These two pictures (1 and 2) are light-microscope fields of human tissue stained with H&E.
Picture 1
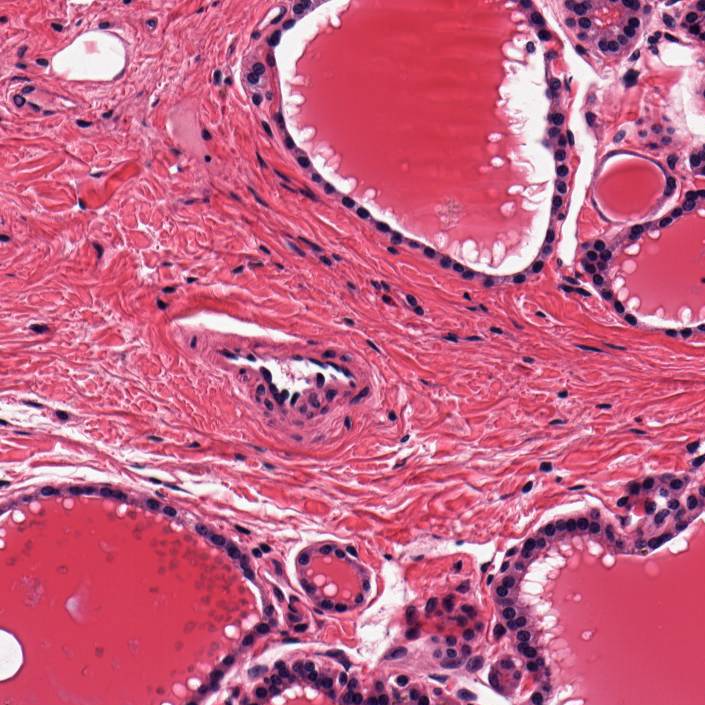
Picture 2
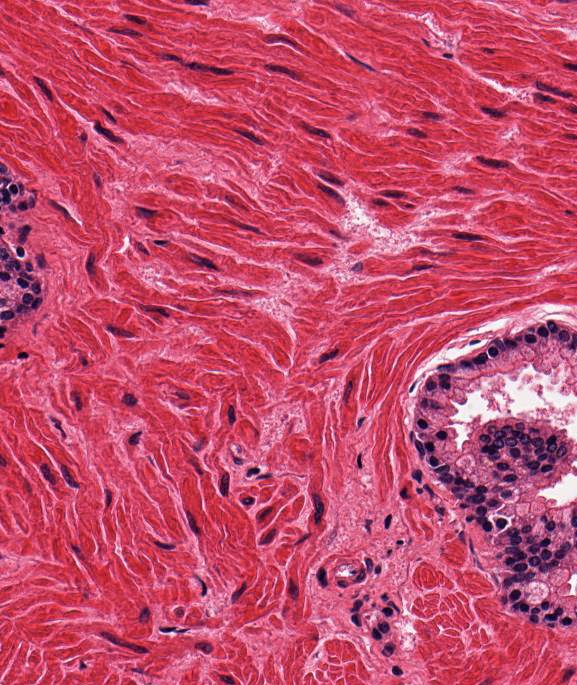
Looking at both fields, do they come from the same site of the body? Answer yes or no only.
no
